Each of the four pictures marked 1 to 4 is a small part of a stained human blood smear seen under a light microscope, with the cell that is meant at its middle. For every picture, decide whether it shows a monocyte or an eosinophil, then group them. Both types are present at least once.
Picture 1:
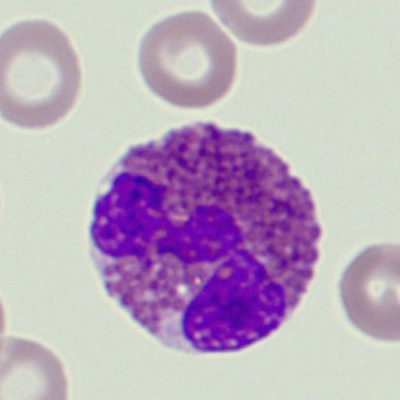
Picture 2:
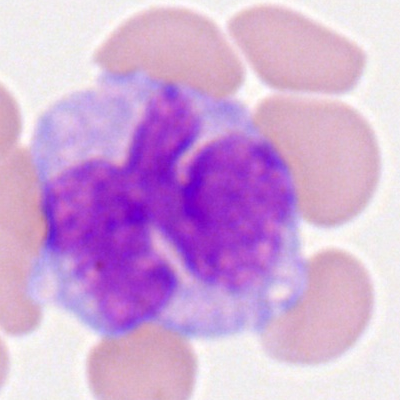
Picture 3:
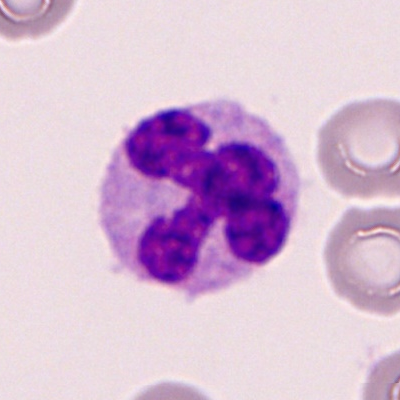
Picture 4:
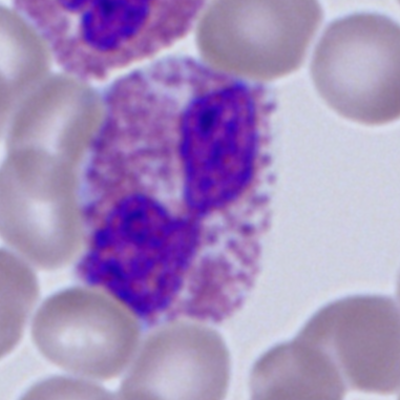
1: eosinophil
2: monocyte
3: monocyte
4: eosinophil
